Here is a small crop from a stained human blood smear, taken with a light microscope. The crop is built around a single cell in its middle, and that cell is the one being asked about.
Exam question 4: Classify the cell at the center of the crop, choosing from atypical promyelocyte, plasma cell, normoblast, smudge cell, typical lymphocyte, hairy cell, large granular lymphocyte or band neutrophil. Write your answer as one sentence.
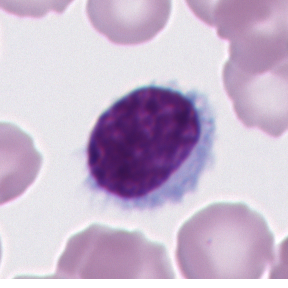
The cell sitting right in the middle is a hairy cell.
